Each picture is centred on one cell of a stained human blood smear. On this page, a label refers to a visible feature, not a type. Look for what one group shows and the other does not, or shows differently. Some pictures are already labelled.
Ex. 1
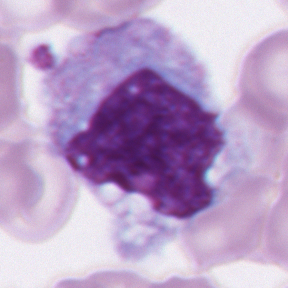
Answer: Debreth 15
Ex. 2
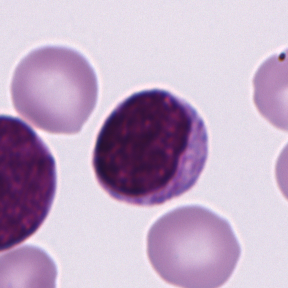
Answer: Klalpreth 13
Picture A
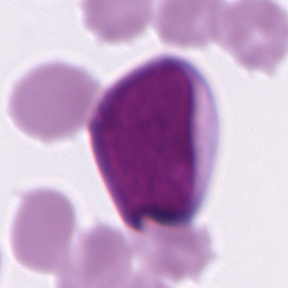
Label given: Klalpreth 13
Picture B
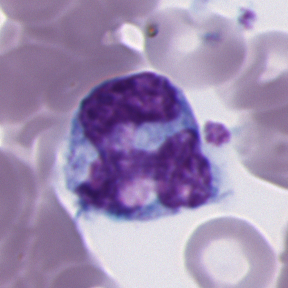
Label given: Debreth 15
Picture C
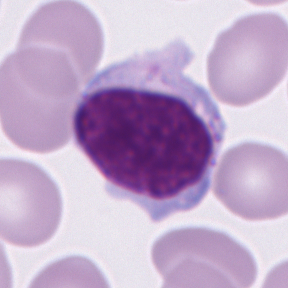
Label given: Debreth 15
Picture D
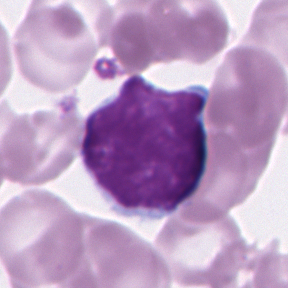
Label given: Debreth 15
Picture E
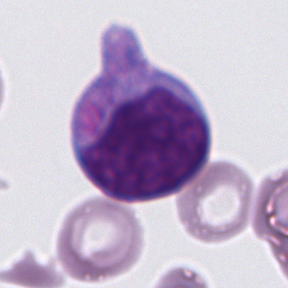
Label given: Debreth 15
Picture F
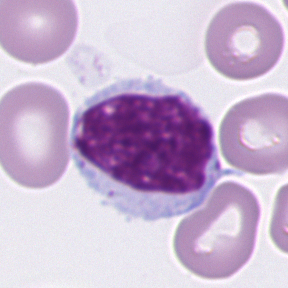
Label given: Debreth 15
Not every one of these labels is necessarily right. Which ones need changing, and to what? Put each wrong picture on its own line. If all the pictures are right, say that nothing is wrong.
No label is wrong.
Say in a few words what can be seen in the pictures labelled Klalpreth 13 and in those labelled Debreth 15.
In Klalpreth 13: smooth outline. In Debreth 15: ragged outline or projections.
